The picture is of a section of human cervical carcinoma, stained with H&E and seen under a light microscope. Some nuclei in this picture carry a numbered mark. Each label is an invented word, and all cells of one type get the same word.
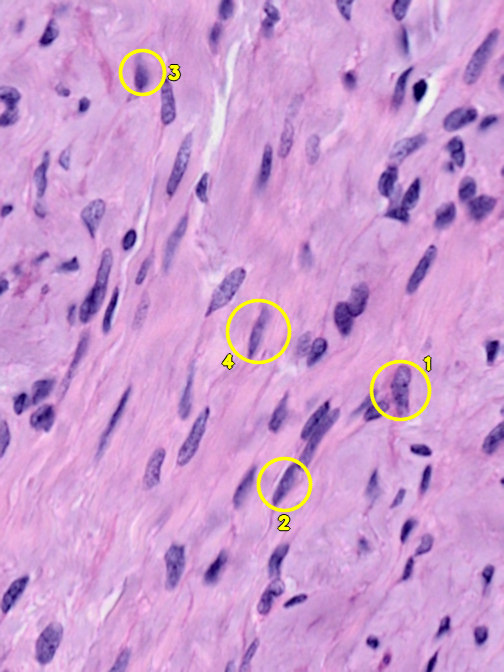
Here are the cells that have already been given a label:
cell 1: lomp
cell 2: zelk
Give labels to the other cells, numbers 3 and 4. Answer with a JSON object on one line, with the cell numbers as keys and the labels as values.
{"3": "zelk", "4": "zelk"}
